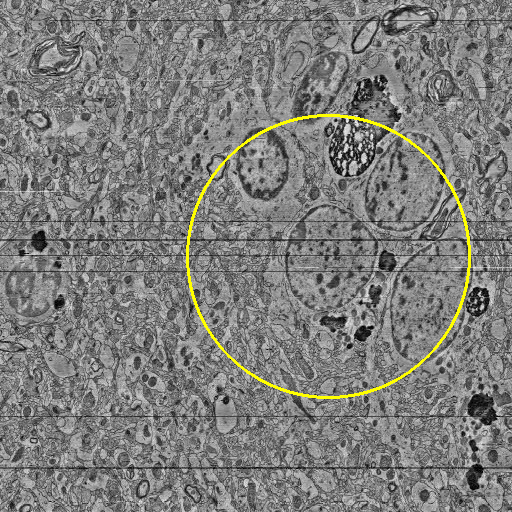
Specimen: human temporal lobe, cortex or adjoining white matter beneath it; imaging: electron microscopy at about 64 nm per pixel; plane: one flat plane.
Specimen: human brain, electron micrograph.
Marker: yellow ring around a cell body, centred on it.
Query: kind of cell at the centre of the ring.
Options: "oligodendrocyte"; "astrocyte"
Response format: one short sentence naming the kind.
This cell body belongs to an astrocyte.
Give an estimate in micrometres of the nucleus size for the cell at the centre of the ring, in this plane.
The nucleus comes to roughly 7 by 6 micrometres in this plane.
